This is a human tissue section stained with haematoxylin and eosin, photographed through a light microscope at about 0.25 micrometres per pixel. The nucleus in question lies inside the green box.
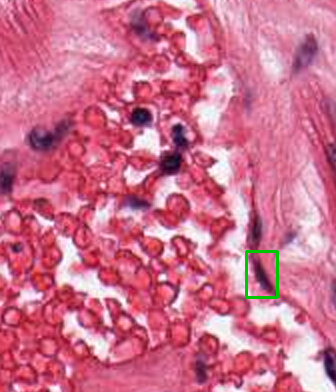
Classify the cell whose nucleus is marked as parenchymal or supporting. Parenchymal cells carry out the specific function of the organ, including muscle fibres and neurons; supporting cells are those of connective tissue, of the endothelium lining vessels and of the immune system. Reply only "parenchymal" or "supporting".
supporting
